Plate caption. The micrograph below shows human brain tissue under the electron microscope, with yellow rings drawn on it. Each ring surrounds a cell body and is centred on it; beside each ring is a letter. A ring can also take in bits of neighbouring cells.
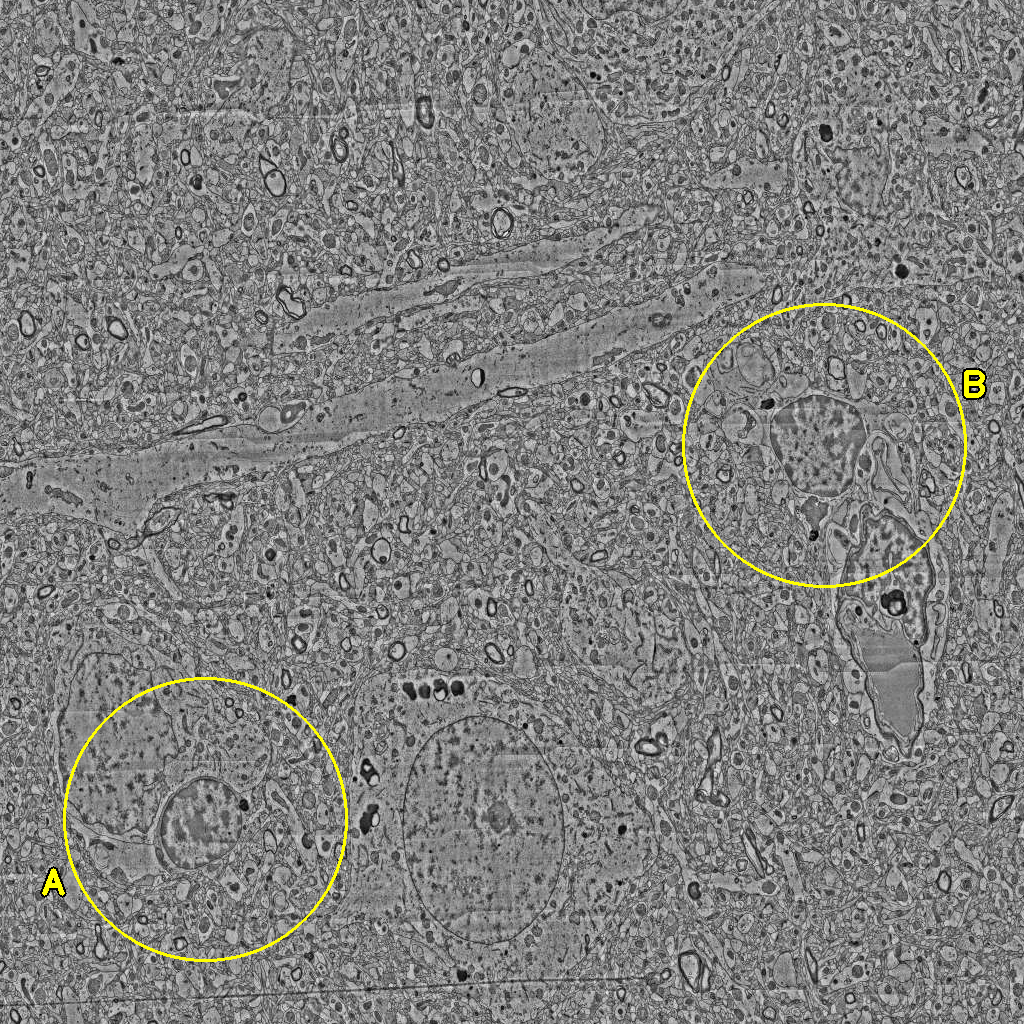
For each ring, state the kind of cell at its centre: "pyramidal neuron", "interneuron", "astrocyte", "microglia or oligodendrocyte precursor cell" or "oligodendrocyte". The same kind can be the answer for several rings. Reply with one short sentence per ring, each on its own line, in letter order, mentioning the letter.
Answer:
Ring A is drawn around an oligodendrocyte.
Ring B is drawn around a microglial cell or oligodendrocyte precursor cell.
